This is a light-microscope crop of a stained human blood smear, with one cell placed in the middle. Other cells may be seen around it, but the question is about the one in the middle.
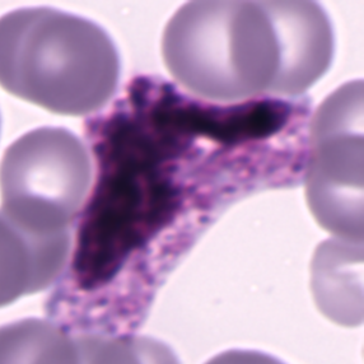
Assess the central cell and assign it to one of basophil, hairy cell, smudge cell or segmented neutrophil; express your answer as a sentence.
This crop has a basophil at its centre.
